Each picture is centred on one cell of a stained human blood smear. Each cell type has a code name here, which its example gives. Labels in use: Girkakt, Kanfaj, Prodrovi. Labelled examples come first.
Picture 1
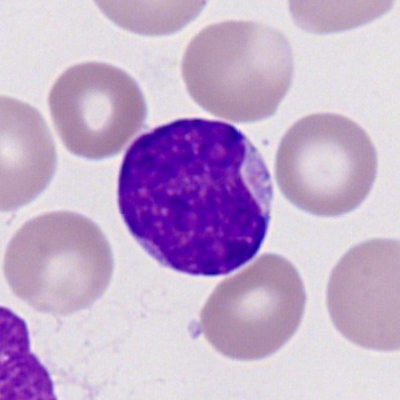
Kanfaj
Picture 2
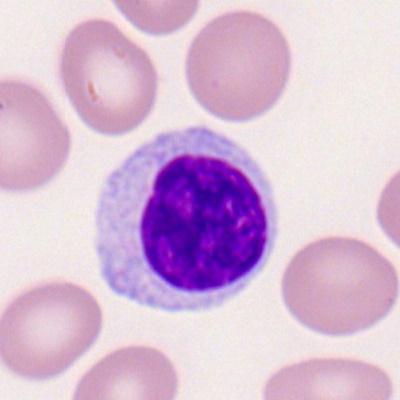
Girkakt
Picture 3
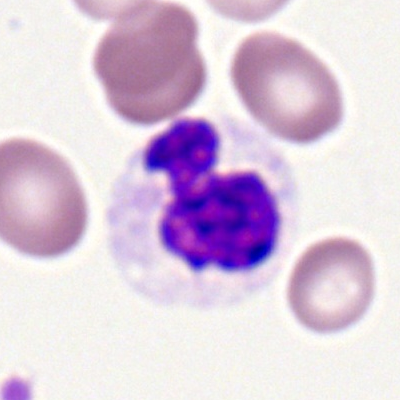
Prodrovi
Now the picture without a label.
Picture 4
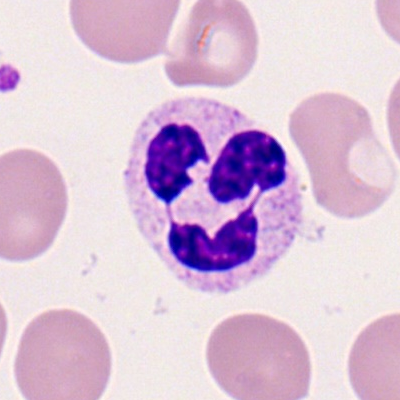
Prodrovi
